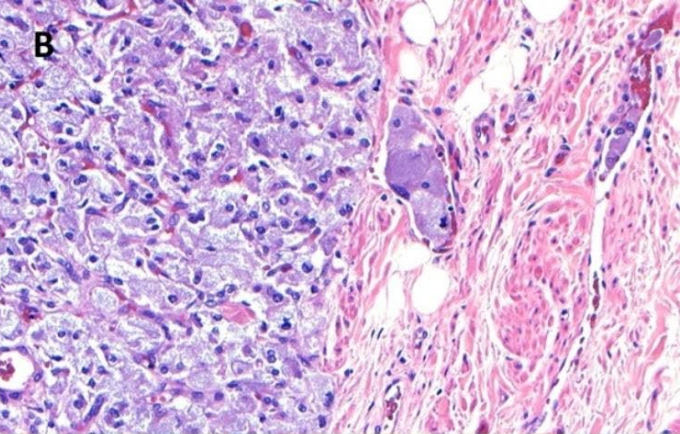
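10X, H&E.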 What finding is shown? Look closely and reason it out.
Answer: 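Lympho-vascular invasion. On the right, fibrous and fatty tissue surrounds a thin-walled space. That space holds a compact cluster of purple tumor cells. A sheet of tumor cells fills the left part of the panel.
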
